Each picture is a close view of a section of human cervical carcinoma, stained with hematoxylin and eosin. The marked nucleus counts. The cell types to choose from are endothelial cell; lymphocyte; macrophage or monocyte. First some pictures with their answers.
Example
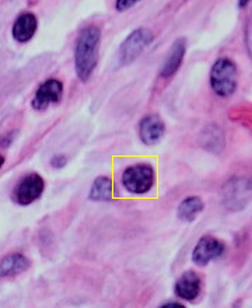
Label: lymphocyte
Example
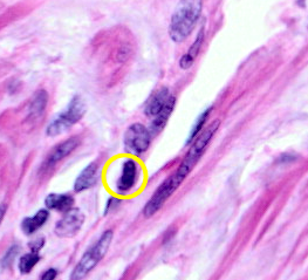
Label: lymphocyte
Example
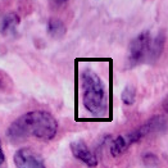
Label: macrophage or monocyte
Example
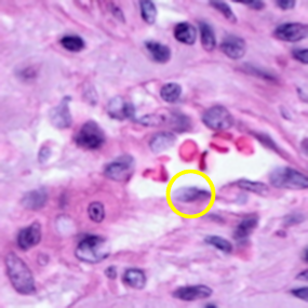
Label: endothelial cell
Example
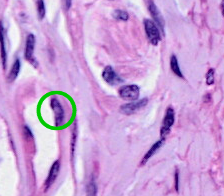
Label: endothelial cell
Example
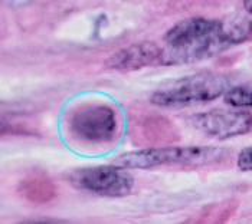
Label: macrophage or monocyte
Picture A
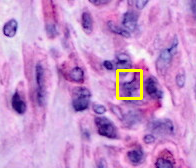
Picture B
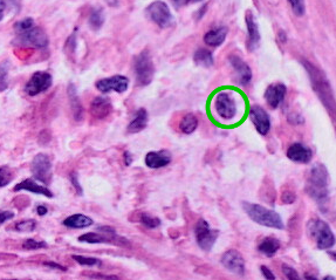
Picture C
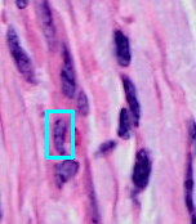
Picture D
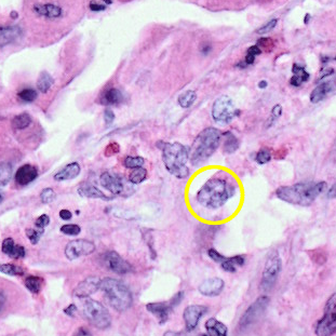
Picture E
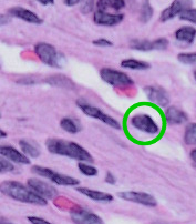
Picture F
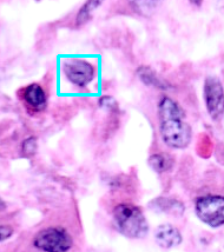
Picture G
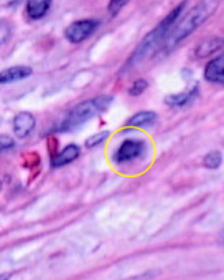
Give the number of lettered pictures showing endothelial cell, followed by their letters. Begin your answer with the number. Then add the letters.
3, namely A, C, E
